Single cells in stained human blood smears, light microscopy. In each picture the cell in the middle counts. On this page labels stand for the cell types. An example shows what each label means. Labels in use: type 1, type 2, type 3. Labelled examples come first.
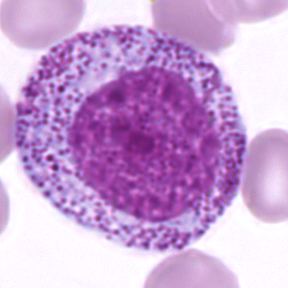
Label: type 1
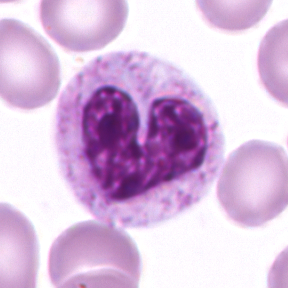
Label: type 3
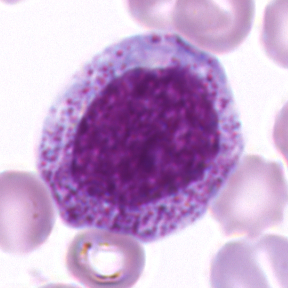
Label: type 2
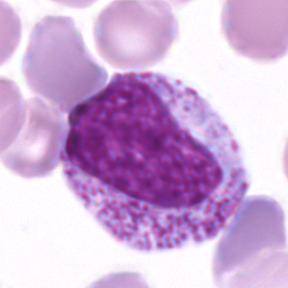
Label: type 1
